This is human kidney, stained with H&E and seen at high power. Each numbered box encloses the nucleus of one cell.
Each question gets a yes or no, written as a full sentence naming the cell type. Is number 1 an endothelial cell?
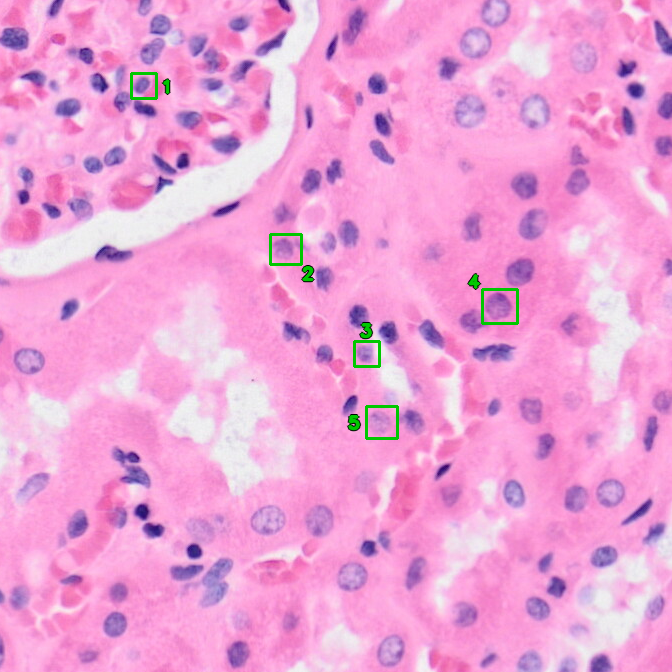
Yes, the cell at number 1 is an endothelial cell.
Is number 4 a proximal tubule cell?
Yes, the cell with its nucleus marked 4 is a proximal tubule cell.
